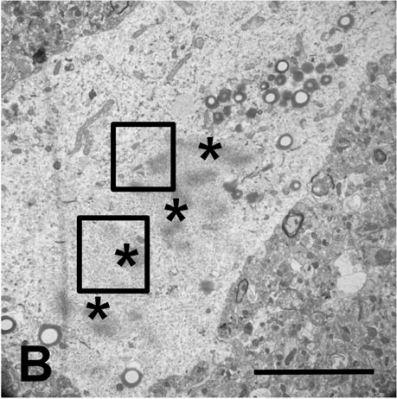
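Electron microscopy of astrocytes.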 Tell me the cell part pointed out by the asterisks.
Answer: Condensed chromosomes.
